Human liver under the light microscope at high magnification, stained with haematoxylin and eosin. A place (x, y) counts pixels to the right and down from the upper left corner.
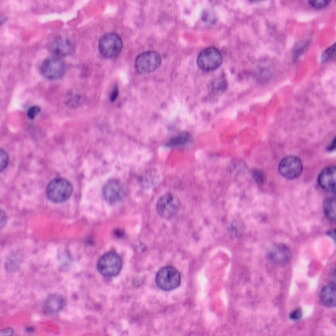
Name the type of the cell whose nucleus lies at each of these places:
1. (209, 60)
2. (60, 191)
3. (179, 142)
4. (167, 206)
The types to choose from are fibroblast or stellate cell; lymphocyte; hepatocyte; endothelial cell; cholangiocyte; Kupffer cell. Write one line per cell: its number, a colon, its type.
1: hepatocyte
2: hepatocyte
3: endothelial cell
4: hepatocyte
